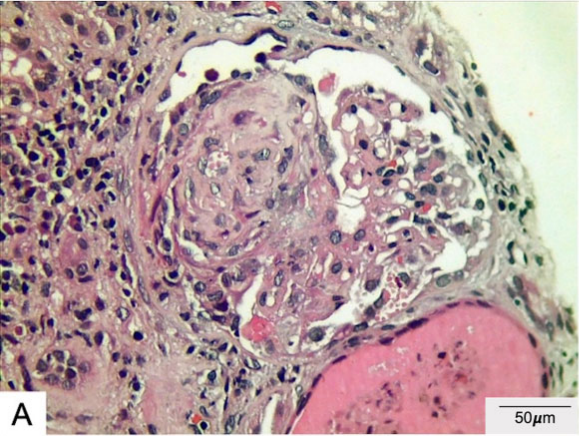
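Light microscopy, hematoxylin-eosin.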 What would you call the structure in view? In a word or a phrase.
crescents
